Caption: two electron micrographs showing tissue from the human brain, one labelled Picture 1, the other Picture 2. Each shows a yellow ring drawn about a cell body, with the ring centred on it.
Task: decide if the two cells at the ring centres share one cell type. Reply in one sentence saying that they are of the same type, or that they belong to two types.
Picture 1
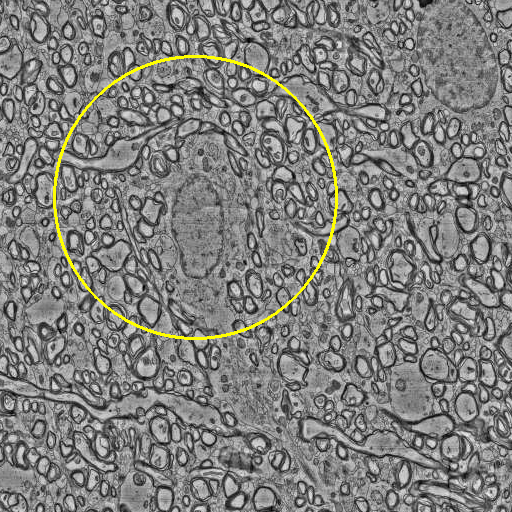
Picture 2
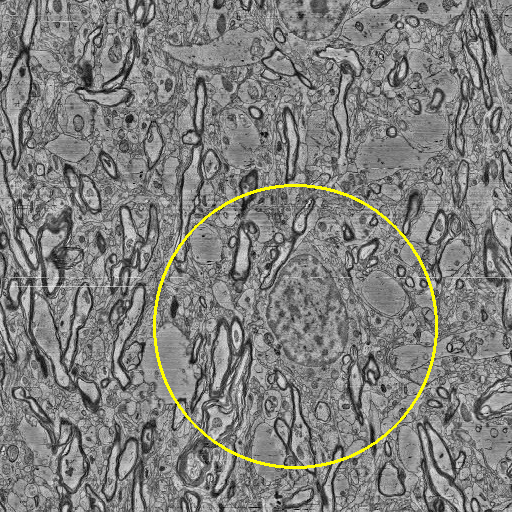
The cells at the ring centres in Picture 1 and Picture 2 belong to two types.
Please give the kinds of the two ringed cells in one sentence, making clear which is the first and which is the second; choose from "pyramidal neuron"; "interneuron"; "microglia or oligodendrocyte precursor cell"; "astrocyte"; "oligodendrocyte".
In the second picture the ringed cell is an oligodendrocyte; in the first it is an astrocyte.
